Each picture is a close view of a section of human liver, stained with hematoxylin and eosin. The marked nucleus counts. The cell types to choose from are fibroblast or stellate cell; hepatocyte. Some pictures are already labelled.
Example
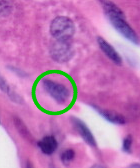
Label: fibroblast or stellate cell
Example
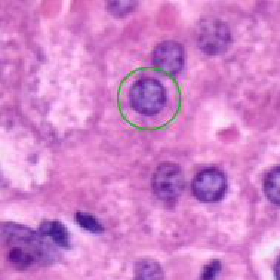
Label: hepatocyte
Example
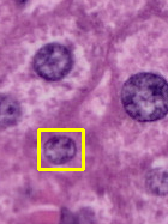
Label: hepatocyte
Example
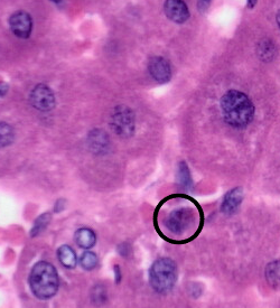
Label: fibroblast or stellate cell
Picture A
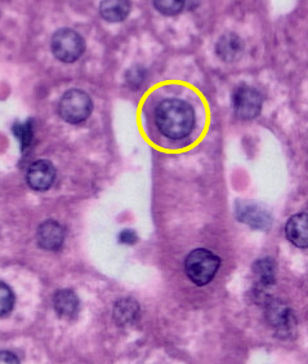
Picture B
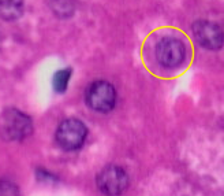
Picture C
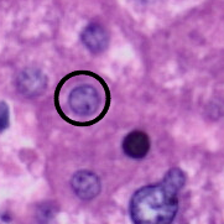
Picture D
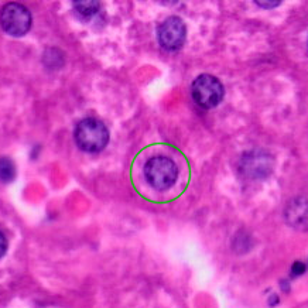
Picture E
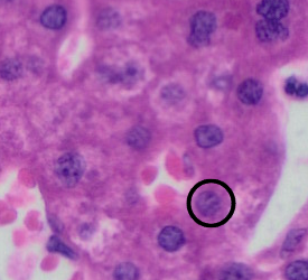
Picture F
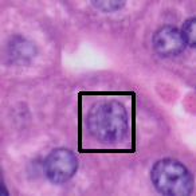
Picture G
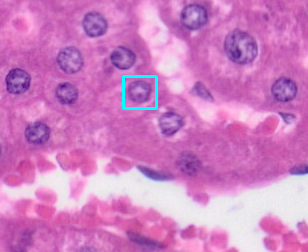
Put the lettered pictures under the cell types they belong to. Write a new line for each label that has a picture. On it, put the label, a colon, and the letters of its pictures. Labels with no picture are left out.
hepatocyte: A, B, C, D, E, F, G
